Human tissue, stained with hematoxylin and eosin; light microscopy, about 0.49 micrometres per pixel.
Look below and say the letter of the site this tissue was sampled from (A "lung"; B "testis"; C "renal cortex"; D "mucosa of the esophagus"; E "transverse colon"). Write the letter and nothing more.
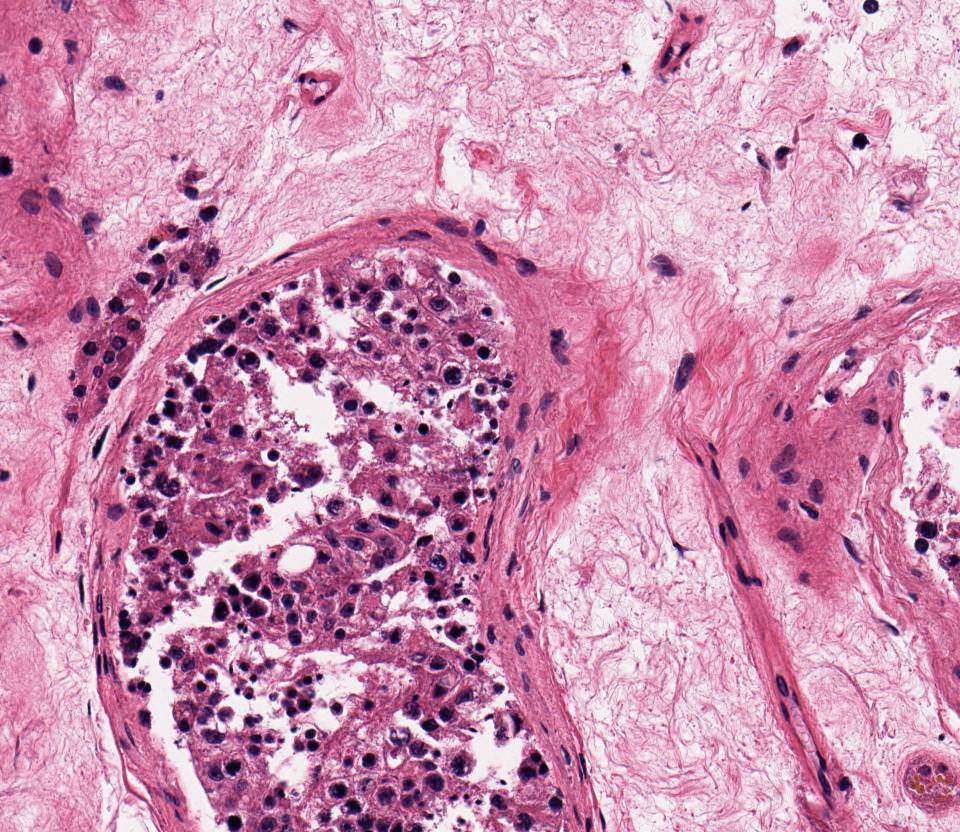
B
